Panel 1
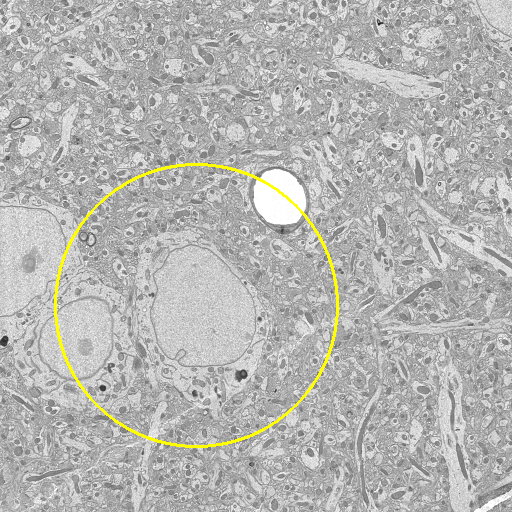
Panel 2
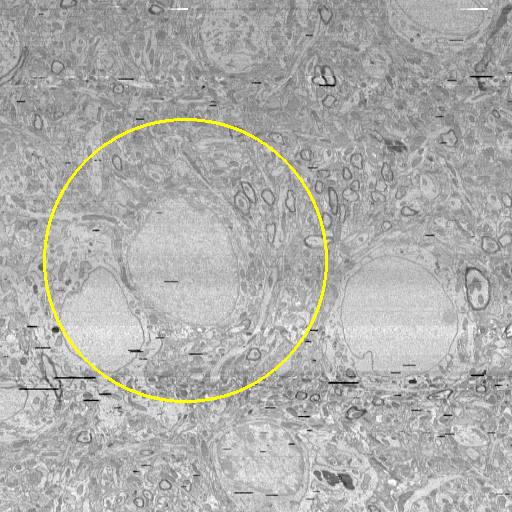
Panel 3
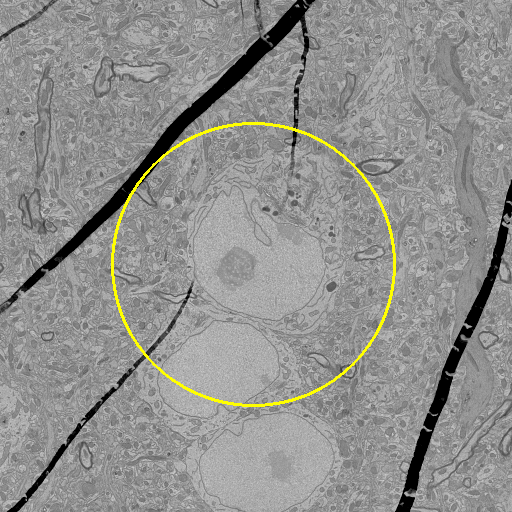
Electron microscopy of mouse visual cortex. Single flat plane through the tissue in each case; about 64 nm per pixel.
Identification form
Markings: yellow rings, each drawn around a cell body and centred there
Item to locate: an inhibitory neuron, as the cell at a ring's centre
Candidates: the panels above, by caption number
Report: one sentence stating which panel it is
It is Panel 3.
